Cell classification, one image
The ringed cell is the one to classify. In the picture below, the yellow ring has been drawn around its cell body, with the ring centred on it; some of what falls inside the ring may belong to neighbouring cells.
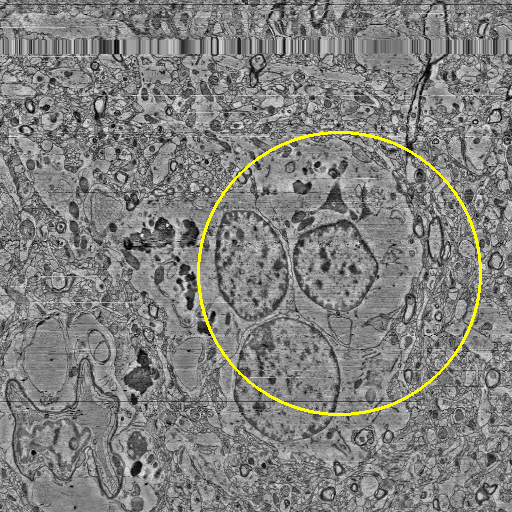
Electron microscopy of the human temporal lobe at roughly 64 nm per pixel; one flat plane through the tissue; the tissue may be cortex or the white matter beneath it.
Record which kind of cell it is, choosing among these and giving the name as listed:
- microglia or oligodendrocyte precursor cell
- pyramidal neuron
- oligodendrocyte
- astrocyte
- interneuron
astrocyte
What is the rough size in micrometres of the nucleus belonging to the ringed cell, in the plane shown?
In this plane the nucleus is about 6 micrometres across.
